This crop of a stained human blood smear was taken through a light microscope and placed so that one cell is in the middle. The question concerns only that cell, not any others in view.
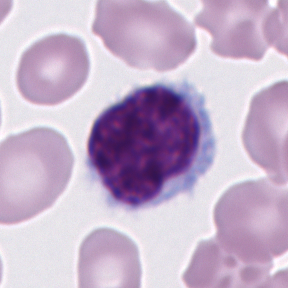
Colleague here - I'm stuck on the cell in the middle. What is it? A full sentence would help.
The cell that lies at the centre of the crop is a hairy cell.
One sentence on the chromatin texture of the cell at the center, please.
In this nucleus, the chromatin is arranged in coarse clumps.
